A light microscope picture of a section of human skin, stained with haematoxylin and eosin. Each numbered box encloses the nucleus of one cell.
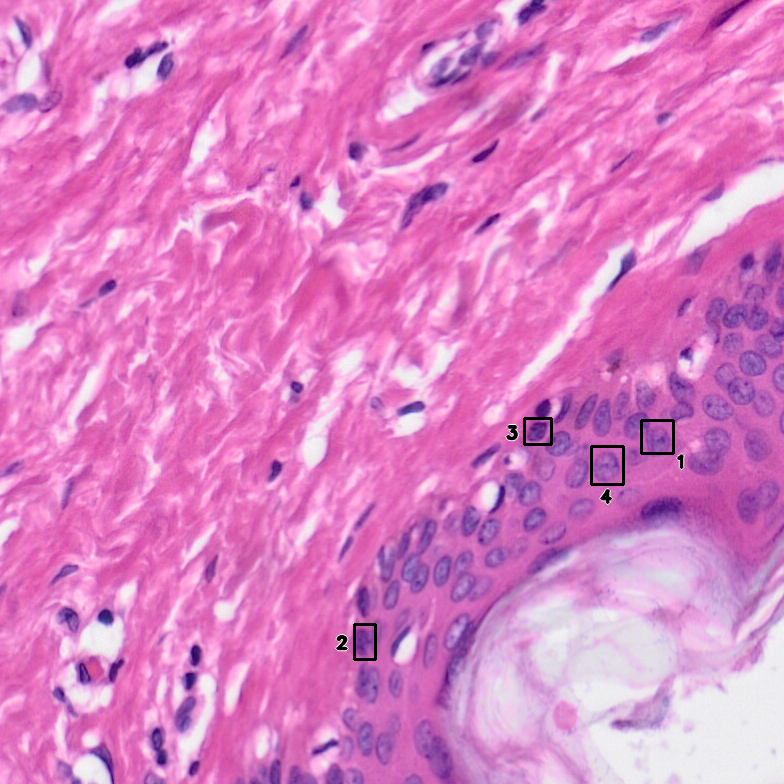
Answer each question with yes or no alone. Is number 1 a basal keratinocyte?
no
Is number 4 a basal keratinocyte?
no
